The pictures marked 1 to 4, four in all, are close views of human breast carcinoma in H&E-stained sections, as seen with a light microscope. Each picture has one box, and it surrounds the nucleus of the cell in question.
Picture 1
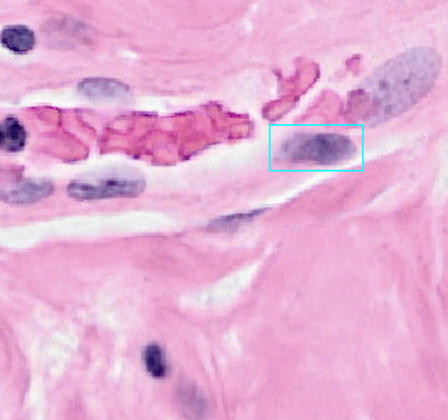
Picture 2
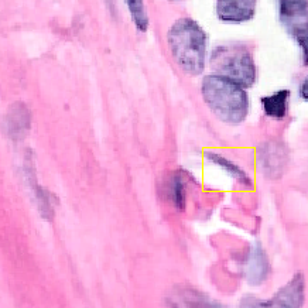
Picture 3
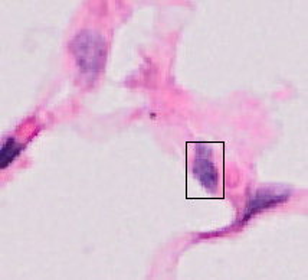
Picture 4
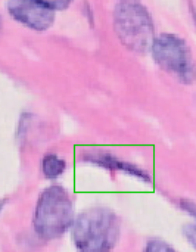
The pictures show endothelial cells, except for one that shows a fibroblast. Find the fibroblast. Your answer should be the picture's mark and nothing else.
4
